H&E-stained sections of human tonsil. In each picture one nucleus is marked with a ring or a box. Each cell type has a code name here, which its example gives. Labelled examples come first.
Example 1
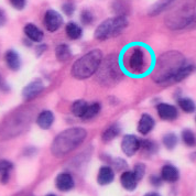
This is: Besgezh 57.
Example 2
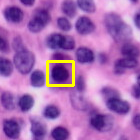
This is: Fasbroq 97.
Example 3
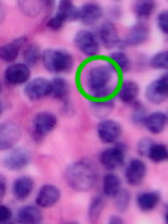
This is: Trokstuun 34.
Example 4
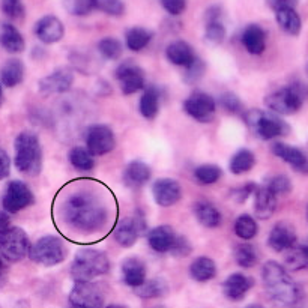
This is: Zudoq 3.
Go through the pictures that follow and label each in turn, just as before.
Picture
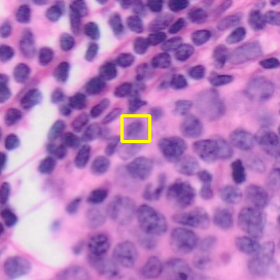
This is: Zudoq 3.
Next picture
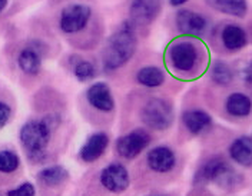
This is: Fasbroq 97.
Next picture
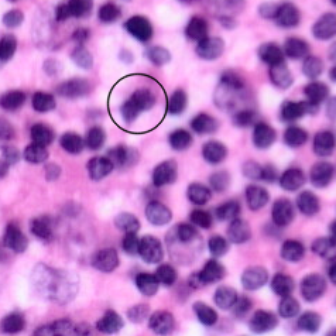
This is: Zudoq 3.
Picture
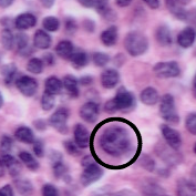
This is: Zudoq 3.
